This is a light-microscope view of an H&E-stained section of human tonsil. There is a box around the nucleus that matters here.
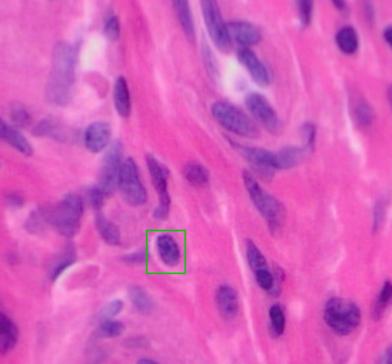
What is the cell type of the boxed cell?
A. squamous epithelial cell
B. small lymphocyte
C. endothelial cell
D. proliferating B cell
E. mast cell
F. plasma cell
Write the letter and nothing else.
E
